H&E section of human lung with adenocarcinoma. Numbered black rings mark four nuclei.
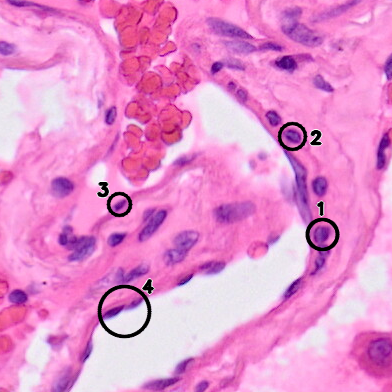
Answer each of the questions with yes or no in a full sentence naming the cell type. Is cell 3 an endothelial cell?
Yes, it is an endothelial cell that carries the number 3.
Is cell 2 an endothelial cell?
No, the nucleus numbered 2 belongs to a smooth muscle cell or pericyte, not an endothelial cell.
